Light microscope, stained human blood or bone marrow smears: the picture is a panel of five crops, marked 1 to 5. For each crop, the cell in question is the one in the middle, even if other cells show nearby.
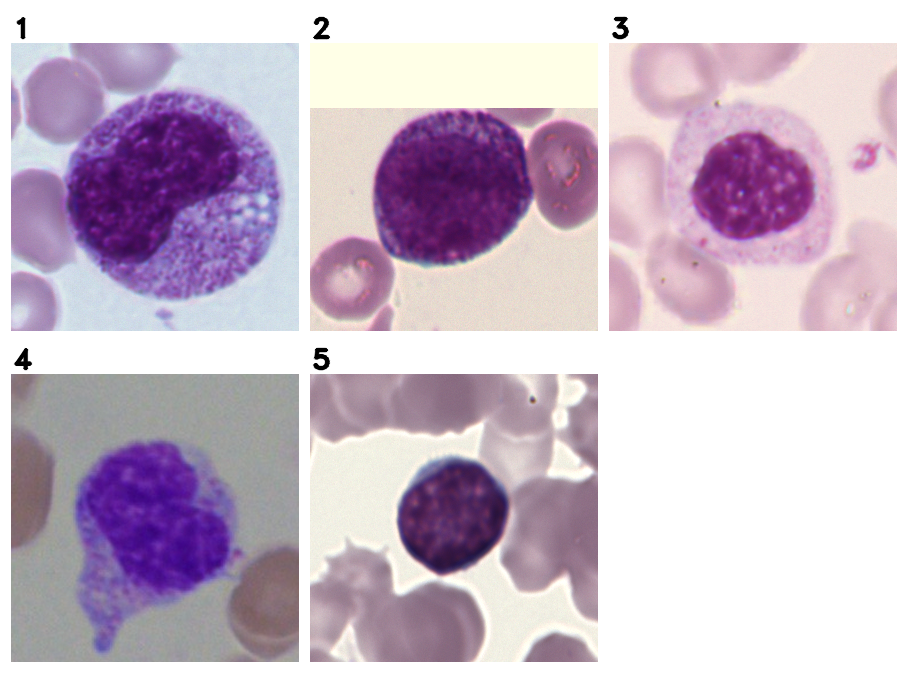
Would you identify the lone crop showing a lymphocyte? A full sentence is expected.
Among these crops, crop 5 holds a lymphocyte.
